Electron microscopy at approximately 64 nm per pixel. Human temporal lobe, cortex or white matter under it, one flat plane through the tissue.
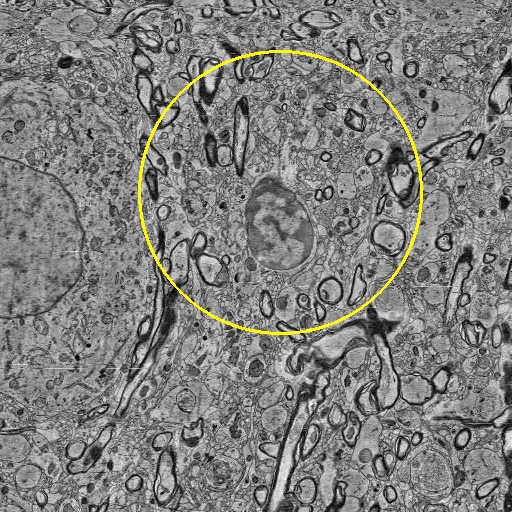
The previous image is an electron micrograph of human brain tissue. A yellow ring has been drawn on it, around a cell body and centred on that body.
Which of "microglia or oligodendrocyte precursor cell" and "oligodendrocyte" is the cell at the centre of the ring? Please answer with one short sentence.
The cell body at the centre of the ring belongs to a microglial cell or oligodendrocyte precursor cell.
